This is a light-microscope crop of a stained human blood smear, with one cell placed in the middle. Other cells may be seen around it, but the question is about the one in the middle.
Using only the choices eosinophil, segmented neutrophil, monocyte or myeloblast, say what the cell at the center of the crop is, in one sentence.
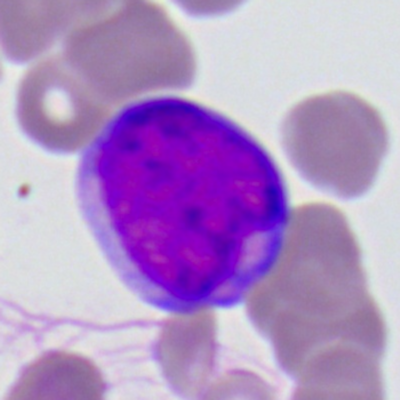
The central cell shown in this smear crop is a myeloblast.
